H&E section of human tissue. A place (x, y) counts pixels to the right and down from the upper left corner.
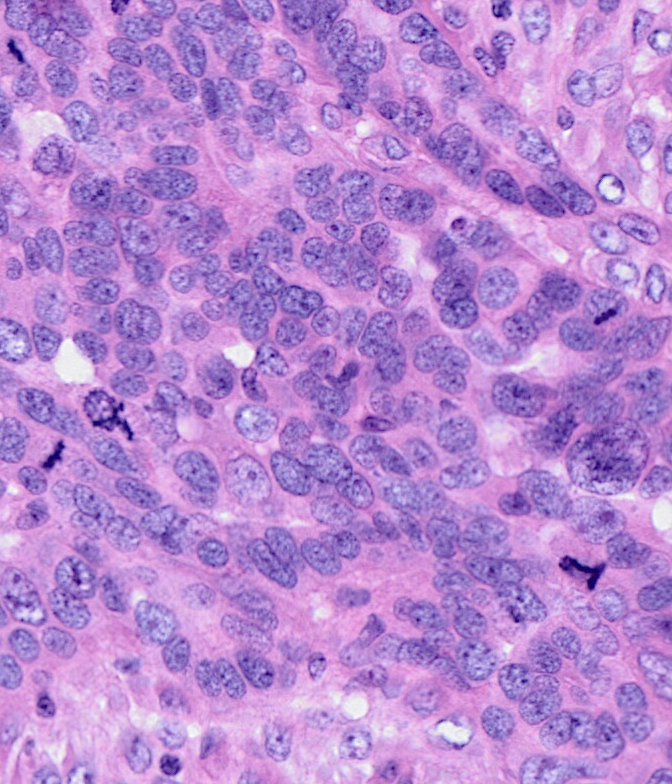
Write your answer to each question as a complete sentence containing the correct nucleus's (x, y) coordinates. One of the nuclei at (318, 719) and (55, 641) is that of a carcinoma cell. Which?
Belonging to a carcinoma cell is the nucleus at (55, 641).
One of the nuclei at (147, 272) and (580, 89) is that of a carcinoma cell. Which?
Of the two nuclei, it is the one at (147, 272) that lies within a carcinoma cell.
